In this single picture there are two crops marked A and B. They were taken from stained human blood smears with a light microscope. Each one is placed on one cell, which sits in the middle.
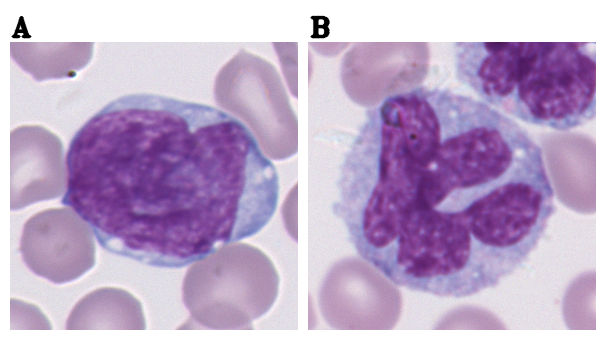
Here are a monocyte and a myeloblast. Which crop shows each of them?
A: myeloblast
B: monocyte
